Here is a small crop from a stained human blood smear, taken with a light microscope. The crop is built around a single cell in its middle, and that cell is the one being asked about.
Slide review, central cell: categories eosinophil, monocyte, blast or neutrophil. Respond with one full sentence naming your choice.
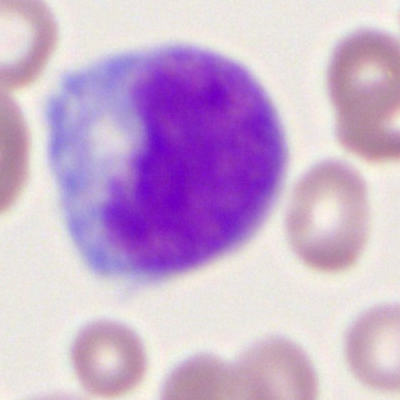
In short, the cell at the center is a monocyte.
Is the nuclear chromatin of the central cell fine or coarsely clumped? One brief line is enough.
The chromatin pattern here is coarse and clumped.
